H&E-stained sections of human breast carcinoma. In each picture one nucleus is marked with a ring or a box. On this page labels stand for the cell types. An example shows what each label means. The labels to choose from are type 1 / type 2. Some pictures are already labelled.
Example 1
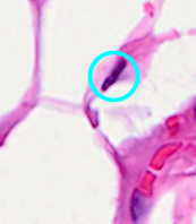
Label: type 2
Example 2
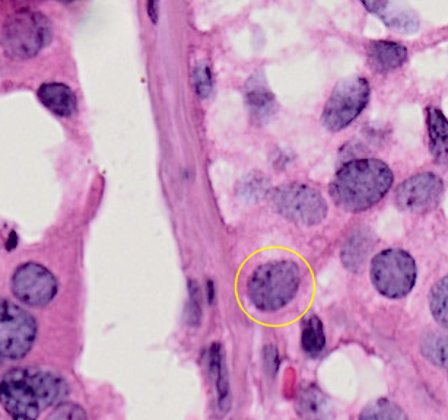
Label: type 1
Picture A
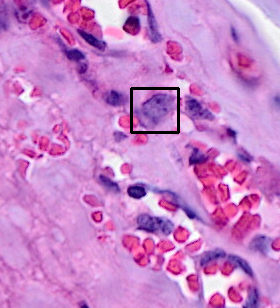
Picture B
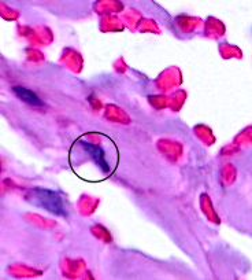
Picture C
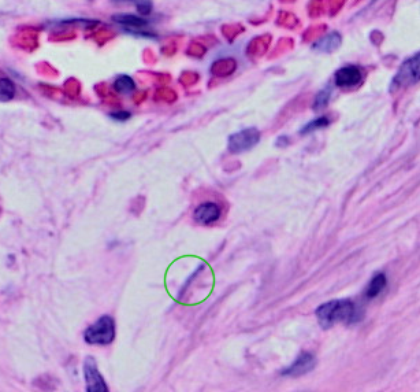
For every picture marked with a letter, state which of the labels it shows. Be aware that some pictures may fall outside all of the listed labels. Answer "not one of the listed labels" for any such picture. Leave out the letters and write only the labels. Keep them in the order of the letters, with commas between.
not one of the listed labels, type 2, type 2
